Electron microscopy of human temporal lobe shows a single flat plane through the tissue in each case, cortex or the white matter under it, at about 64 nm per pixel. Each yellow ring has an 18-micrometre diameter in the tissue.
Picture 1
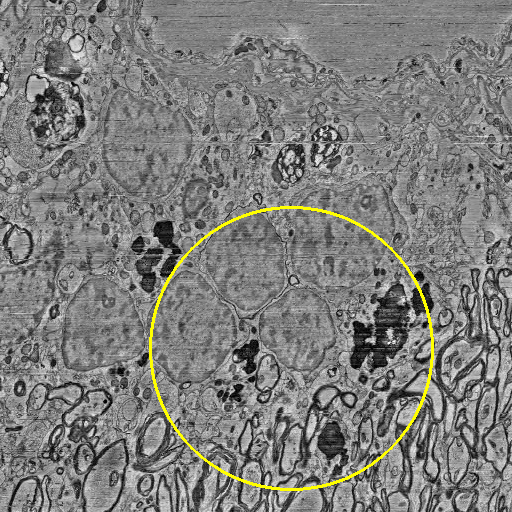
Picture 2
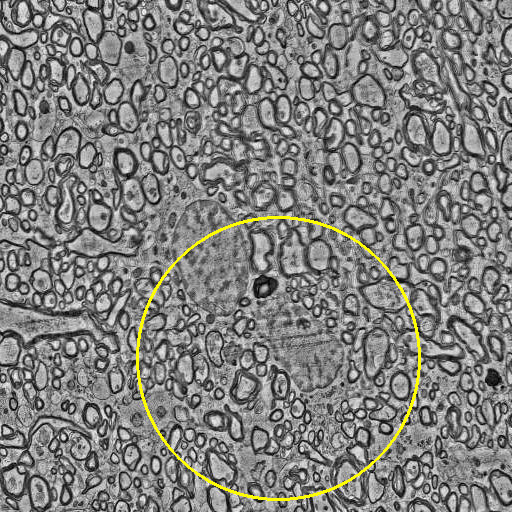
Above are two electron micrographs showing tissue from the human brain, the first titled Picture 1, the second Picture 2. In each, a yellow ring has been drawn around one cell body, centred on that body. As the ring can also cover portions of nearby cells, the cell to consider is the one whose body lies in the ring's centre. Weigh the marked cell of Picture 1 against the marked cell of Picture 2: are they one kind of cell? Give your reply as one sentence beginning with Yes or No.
Yes, the two cells sitting at the ring centres in the pictures are of one kind.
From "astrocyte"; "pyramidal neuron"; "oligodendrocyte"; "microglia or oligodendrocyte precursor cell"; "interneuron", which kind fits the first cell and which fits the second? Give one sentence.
Each one of the two ringed cells is an oligodendrocyte.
